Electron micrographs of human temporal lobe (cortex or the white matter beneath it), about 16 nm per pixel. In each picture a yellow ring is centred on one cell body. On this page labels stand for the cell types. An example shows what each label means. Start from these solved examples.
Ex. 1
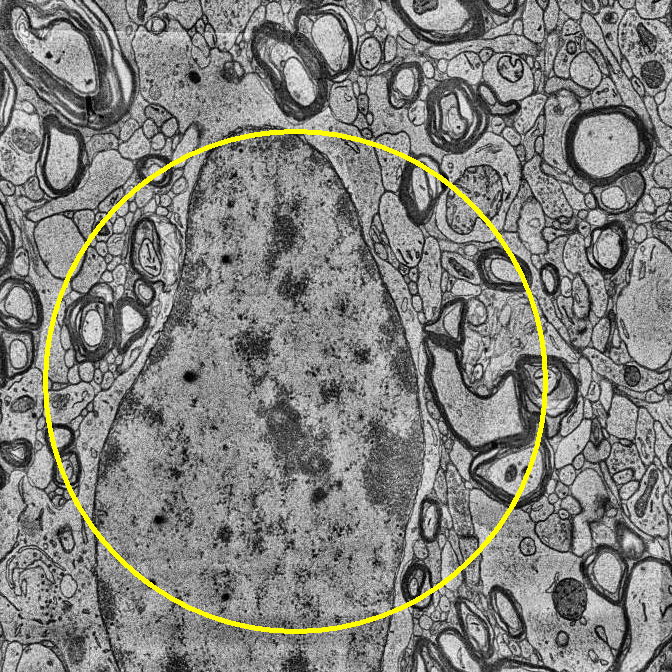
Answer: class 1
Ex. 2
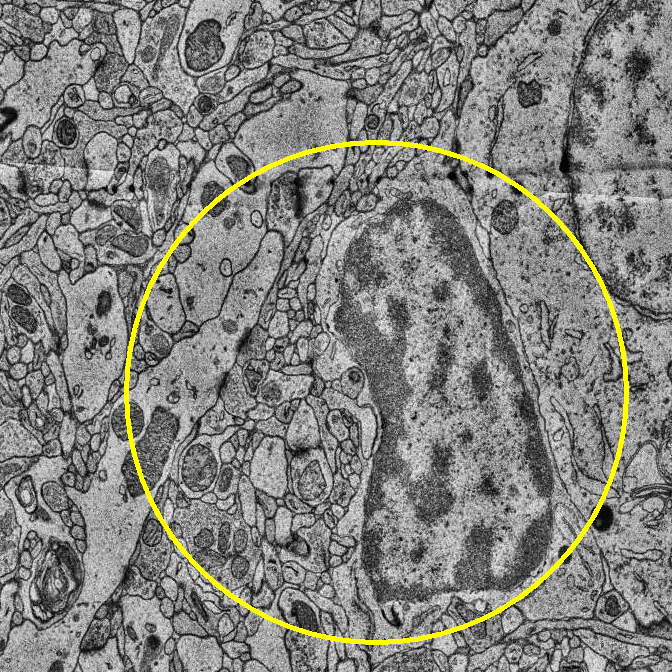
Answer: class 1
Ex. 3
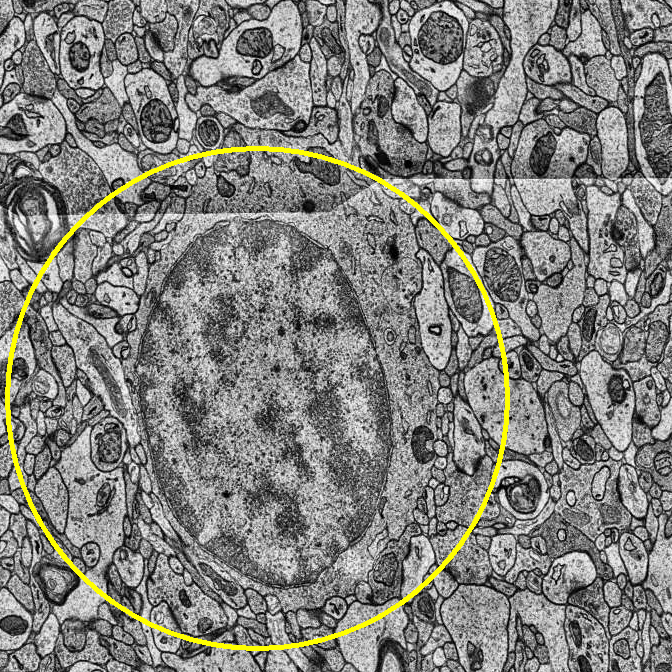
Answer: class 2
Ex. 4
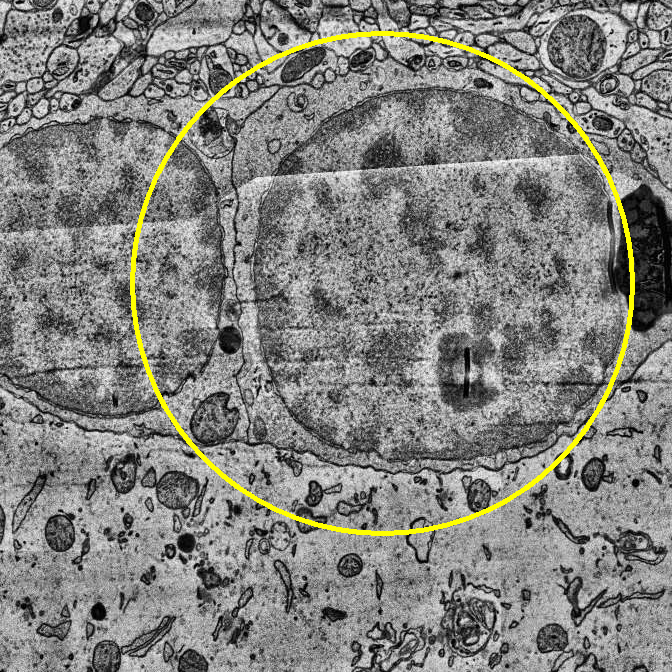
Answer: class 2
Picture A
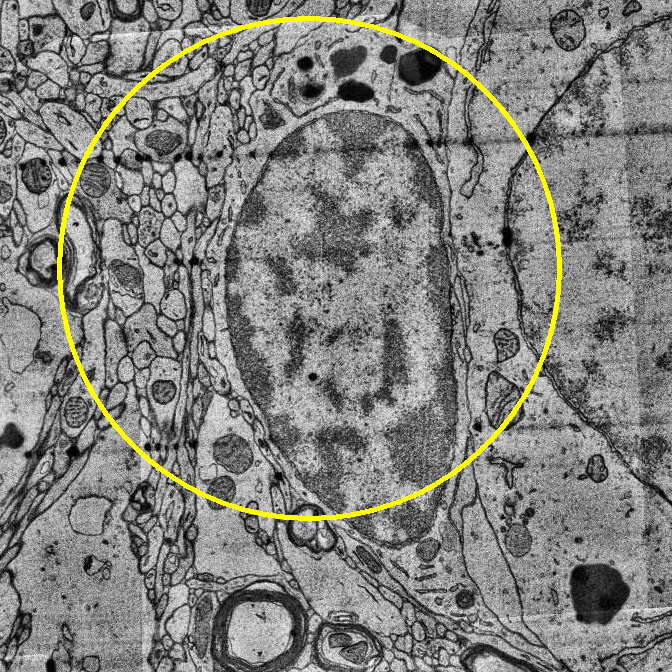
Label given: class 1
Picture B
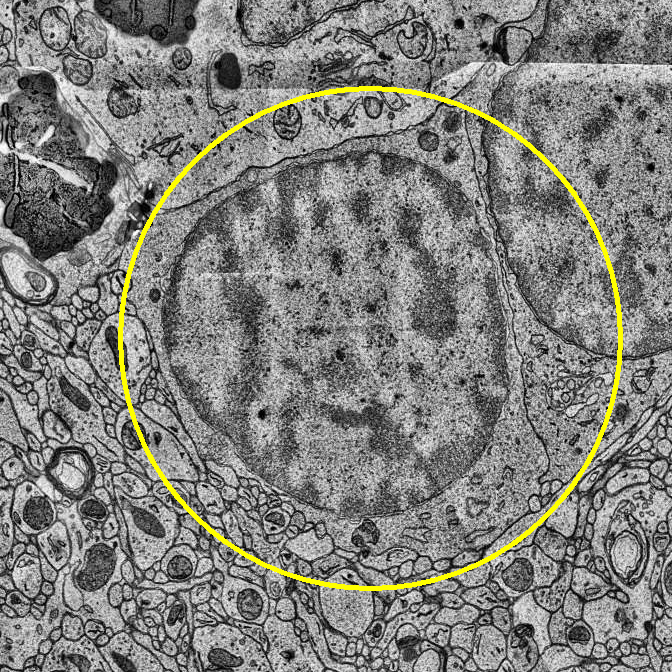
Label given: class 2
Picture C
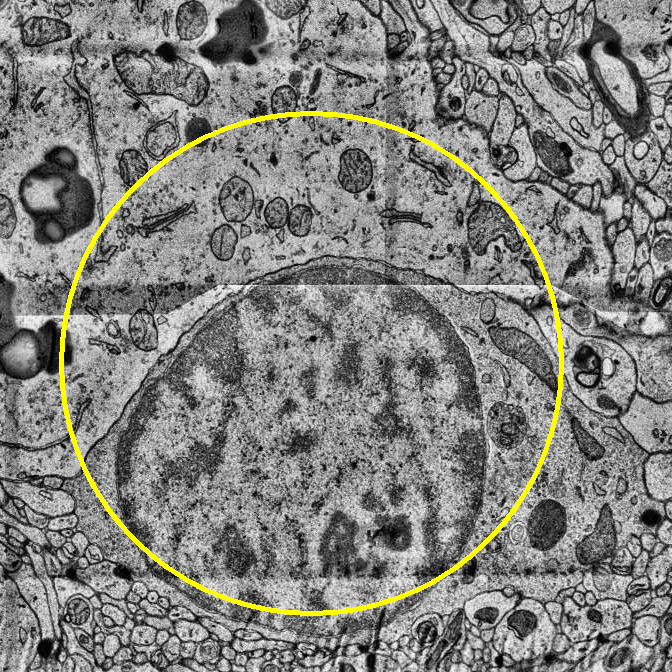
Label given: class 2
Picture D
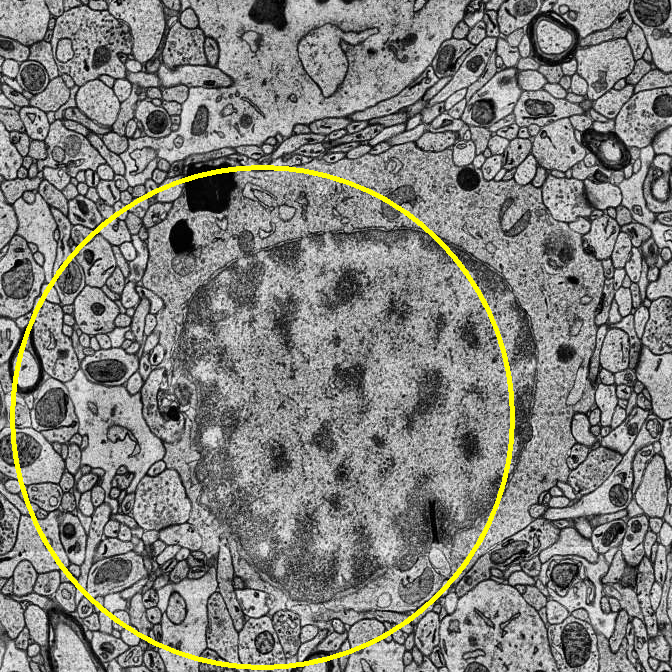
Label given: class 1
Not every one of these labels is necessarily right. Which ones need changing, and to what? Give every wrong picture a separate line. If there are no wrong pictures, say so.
D should be class 2, not class 1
